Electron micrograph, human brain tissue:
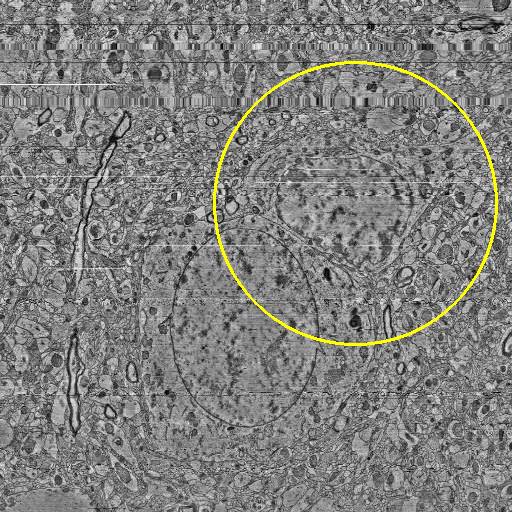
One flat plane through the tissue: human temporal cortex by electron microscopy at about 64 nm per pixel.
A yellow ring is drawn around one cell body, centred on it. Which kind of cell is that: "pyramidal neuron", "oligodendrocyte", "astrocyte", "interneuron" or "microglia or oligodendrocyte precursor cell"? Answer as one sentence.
It is an interneuron at the centre of the ring.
